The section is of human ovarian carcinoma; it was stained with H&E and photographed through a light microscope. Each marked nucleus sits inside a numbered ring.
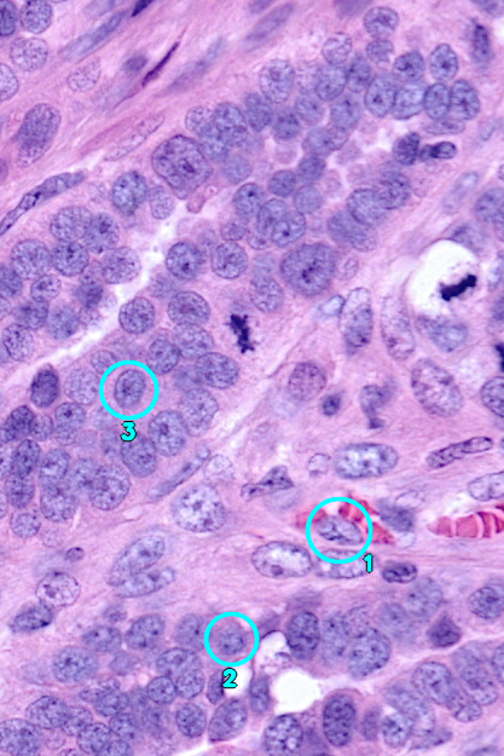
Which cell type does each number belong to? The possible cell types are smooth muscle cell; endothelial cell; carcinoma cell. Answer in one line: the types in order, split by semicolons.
endothelial cell; carcinoma cell; carcinoma cell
